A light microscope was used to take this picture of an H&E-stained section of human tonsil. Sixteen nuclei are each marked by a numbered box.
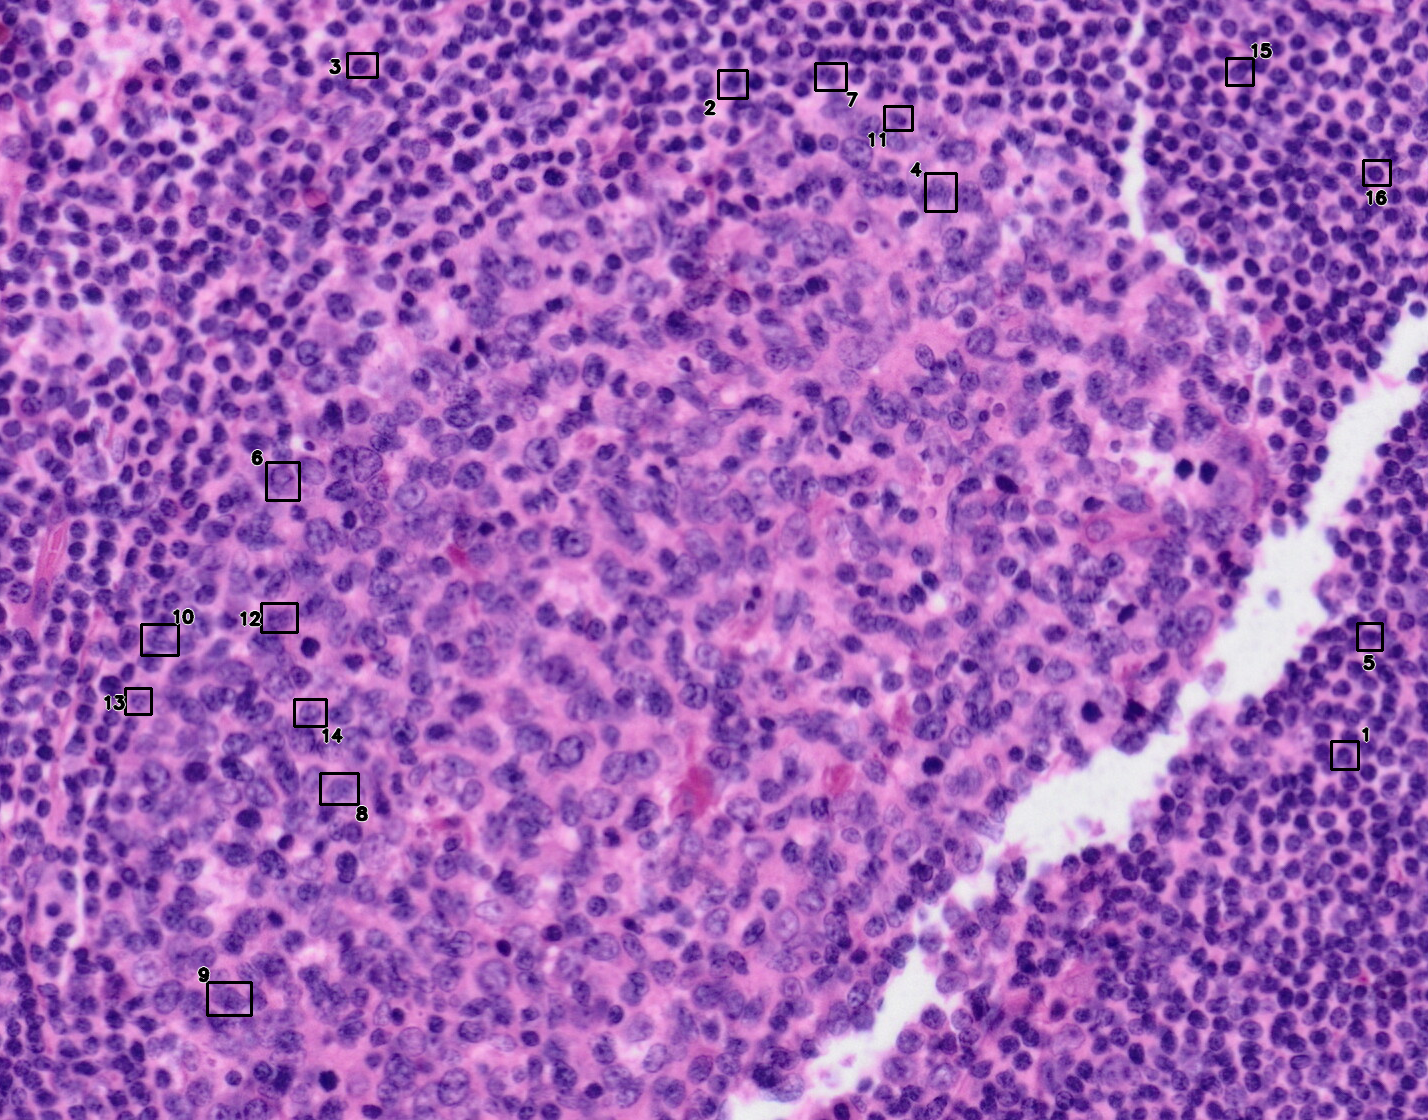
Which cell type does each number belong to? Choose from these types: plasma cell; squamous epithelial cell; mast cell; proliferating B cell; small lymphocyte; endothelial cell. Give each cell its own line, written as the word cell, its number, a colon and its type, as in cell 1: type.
cell 1: small lymphocyte
cell 2: small lymphocyte
cell 3: small lymphocyte
cell 4: proliferating B cell
cell 5: small lymphocyte
cell 6: proliferating B cell
cell 7: small lymphocyte
cell 8: proliferating B cell
cell 9: proliferating B cell
cell 10: proliferating B cell
cell 11: proliferating B cell
cell 12: proliferating B cell
cell 13: proliferating B cell
cell 14: proliferating B cell
cell 15: small lymphocyte
cell 16: small lymphocyte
